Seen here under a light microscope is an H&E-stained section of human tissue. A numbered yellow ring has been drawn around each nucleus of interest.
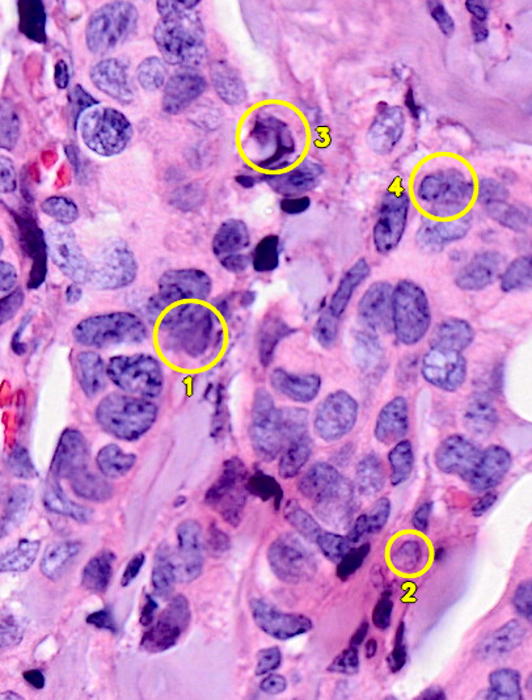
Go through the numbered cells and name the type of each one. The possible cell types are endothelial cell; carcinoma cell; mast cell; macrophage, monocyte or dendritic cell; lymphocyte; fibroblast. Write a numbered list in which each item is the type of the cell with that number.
1. carcinoma cell
2. endothelial cell
3. carcinoma cell
4. carcinoma cell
